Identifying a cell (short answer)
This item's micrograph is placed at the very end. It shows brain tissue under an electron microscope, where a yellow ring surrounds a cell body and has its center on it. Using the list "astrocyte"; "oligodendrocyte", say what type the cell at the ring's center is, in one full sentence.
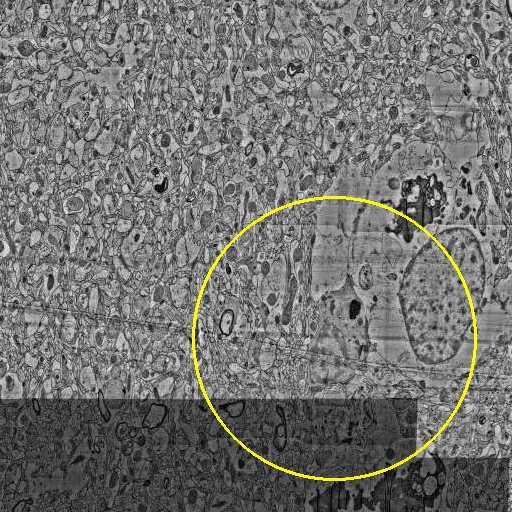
This picture shows an oligodendrocyte at the center of the yellow ring drawn on it.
